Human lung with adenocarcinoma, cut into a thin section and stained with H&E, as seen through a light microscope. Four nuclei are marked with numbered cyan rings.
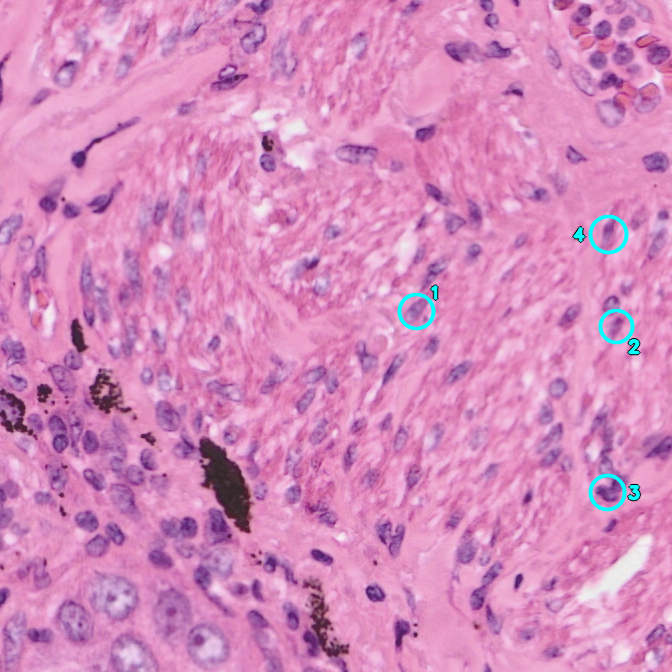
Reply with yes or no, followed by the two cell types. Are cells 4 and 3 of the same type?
No, cell 4 is a smooth muscle cell or pericyte and cell 3 is a mast cell.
